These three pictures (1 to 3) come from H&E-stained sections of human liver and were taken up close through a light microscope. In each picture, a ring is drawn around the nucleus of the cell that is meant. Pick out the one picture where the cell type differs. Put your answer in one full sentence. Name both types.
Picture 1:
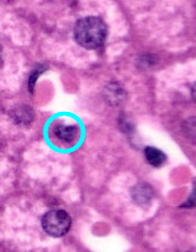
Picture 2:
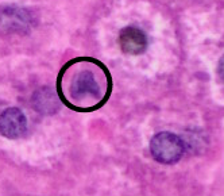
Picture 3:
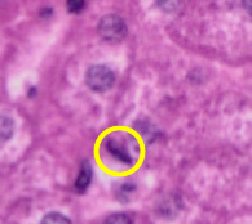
Unlike the rest, which show “fibroblasts or stellate cells”, picture 2 shows an endothelial cell.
